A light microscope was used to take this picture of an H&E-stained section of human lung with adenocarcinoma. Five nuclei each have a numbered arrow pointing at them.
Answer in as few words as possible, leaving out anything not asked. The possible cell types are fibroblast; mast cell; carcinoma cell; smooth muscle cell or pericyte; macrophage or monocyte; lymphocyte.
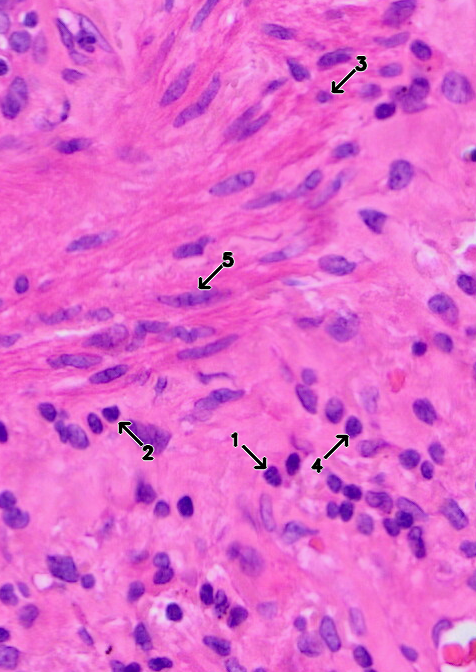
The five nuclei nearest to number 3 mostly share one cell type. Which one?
smooth muscle cell or pericyte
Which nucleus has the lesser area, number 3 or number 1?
3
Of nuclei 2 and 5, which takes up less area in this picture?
2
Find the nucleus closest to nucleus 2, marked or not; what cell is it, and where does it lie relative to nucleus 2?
a mast cell below and to the left of nucleus 2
